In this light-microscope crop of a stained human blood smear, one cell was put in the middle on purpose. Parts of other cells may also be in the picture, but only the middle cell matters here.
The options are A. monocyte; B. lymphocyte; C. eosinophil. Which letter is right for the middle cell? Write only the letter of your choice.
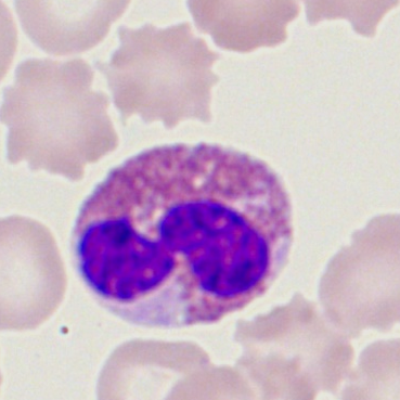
C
